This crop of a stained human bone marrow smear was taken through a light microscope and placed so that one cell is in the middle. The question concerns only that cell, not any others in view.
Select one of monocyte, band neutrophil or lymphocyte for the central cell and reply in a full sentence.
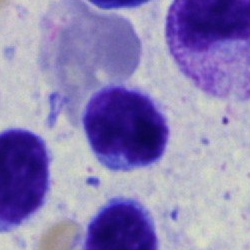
On this slide crop, the central cell is a lymphocyte.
